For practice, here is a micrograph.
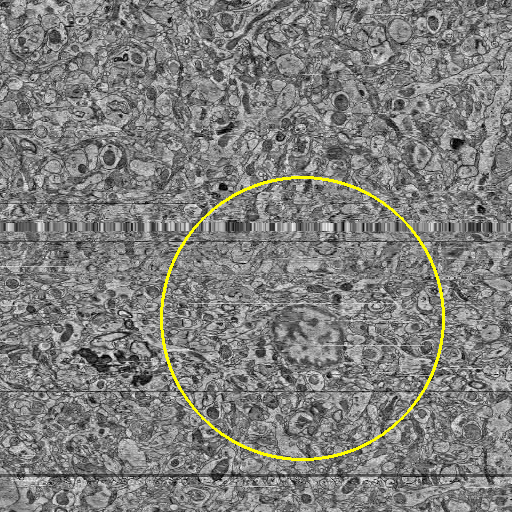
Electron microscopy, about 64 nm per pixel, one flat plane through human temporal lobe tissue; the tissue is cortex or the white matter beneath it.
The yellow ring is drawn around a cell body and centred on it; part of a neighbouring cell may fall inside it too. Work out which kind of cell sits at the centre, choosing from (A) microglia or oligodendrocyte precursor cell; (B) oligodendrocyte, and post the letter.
B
